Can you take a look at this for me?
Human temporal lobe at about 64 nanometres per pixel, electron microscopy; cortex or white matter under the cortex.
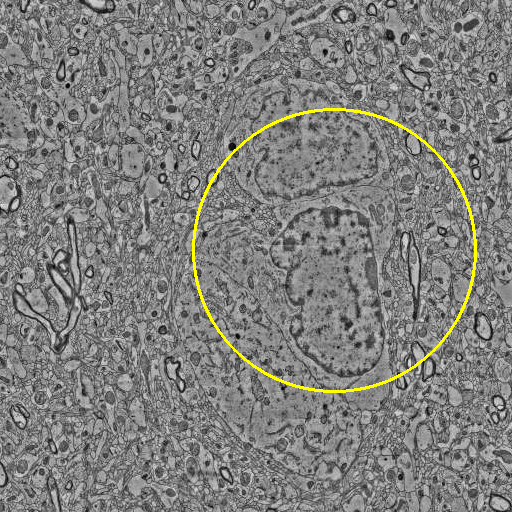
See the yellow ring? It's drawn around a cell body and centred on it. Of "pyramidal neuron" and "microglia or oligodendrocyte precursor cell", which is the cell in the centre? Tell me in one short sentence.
The one in the centre is a microglial cell or oligodendrocyte precursor cell.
